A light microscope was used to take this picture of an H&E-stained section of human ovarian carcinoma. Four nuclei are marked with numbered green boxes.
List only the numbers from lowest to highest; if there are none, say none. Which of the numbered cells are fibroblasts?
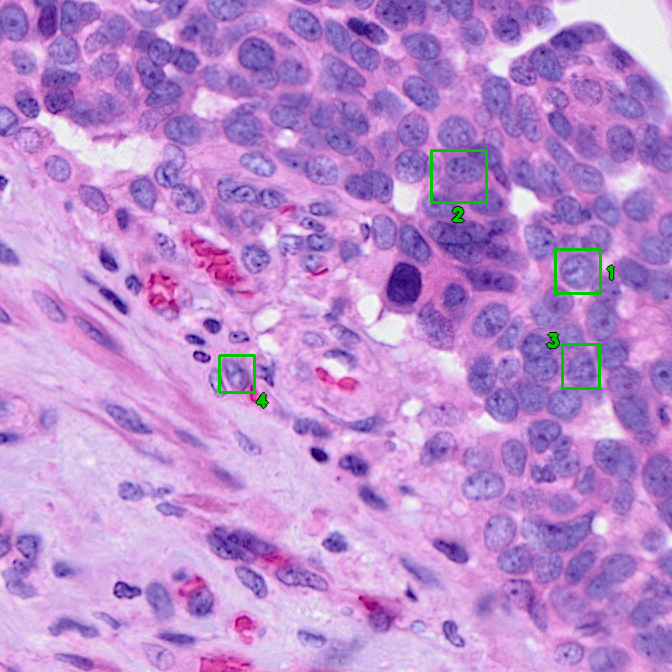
none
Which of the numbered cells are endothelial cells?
4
